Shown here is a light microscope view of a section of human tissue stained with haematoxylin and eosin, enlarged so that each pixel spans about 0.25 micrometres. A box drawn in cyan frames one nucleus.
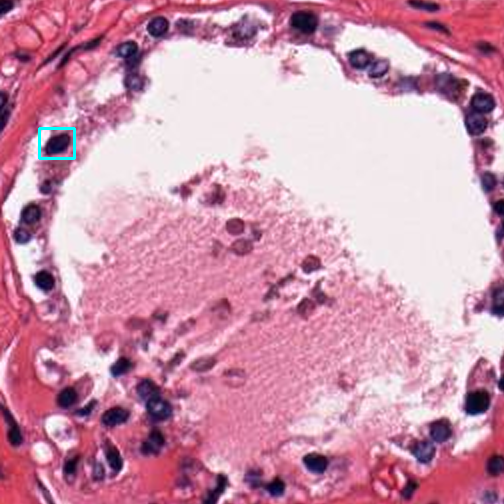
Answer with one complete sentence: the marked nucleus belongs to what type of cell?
It is a thyroid follicular cell that the marked nucleus belongs to.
